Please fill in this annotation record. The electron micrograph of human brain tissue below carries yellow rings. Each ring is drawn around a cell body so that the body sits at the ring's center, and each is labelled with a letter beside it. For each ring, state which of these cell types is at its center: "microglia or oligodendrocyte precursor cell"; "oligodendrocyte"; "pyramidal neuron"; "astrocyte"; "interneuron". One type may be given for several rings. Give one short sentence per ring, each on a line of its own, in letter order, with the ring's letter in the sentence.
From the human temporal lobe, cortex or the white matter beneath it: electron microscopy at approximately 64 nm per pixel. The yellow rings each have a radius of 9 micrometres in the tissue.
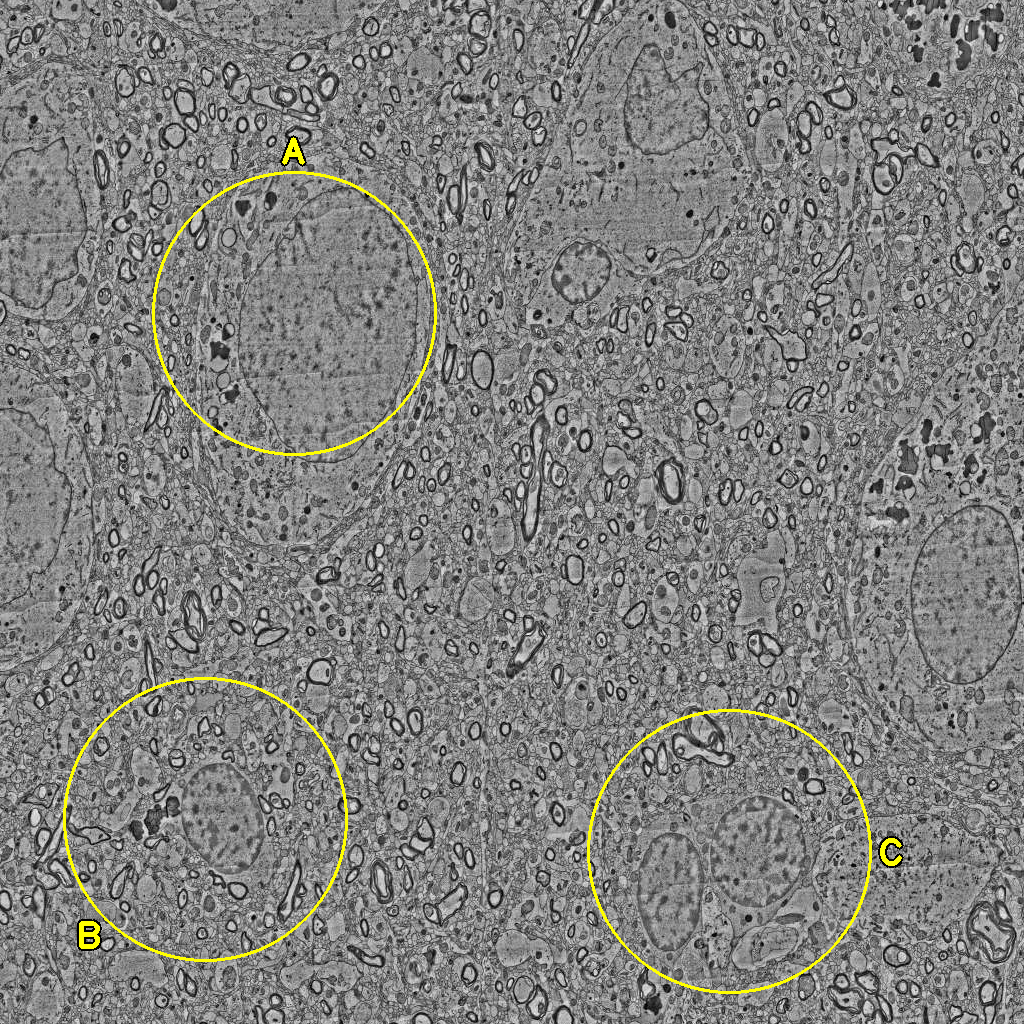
Ring A is drawn around a pyramidal neuron.
Ring B is drawn around an oligodendrocyte.
Ring C is drawn around an oligodendrocyte.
